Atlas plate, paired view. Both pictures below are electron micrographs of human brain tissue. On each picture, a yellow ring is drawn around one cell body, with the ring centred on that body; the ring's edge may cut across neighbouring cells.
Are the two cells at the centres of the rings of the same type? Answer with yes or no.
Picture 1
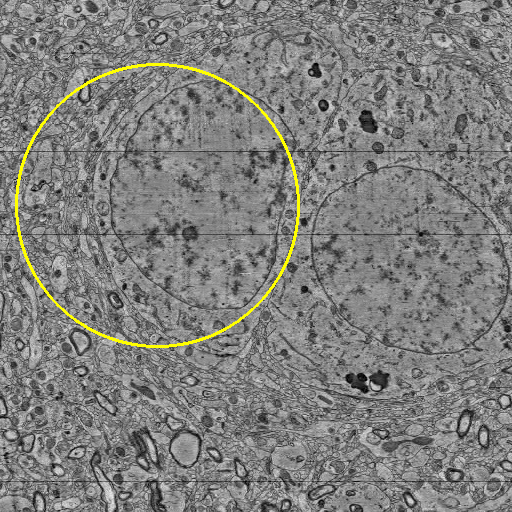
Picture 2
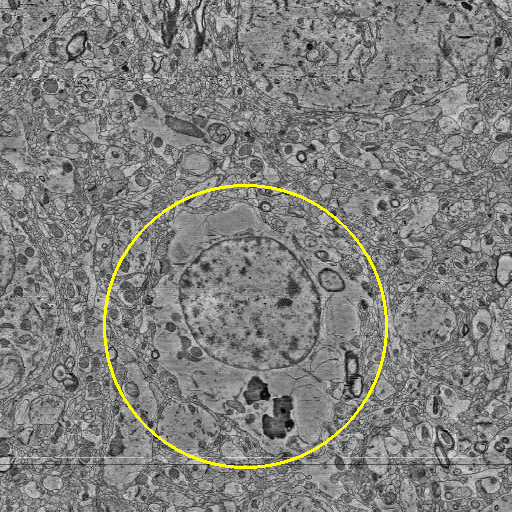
no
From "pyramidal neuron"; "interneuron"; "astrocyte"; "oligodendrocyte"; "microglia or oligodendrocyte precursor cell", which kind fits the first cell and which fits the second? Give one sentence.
The cell marked in the first picture is a pyramidal neuron, and the one marked in the second is an astrocyte.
